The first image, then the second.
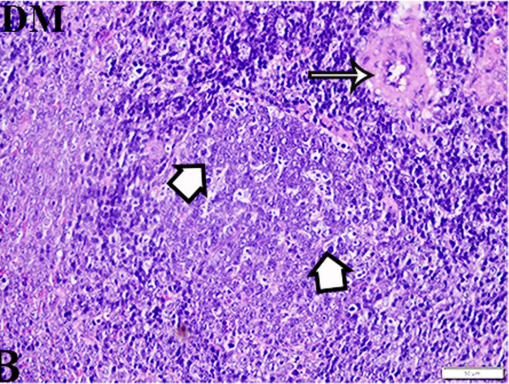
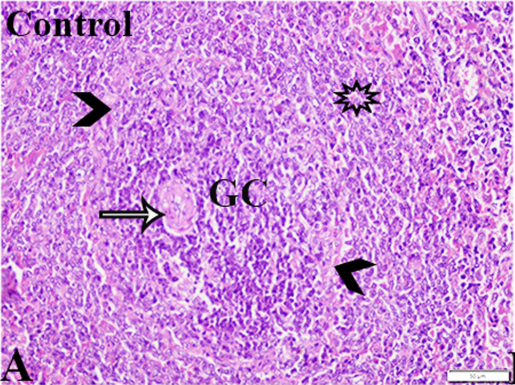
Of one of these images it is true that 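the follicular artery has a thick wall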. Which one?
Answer: The first image.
